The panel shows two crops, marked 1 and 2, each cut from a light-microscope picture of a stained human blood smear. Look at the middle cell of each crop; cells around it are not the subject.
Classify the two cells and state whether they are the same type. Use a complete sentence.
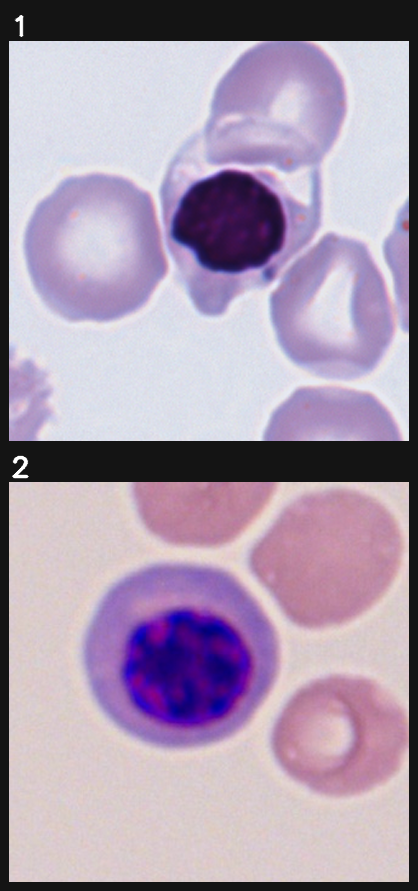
Yes, both crops alike show erythroblasts at the centre.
